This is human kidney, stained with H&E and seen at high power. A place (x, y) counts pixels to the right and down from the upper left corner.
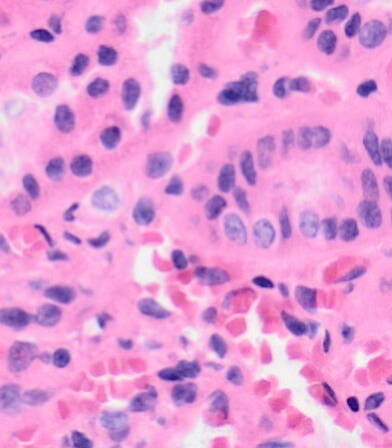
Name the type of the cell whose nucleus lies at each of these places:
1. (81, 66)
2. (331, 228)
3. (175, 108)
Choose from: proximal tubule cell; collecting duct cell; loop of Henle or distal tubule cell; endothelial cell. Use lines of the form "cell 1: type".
cell 1: loop of Henle or distal tubule cell
cell 2: collecting duct cell
cell 3: loop of Henle or distal tubule cell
